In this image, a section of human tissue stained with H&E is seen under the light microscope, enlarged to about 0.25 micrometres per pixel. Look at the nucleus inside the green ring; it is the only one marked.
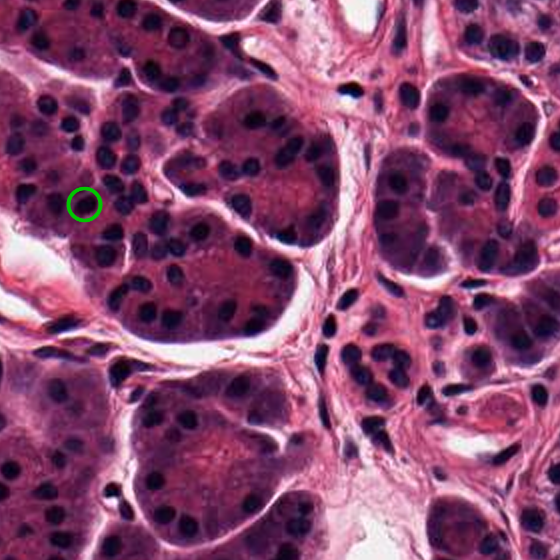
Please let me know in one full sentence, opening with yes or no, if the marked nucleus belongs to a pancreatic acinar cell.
Yes, the marked nucleus sits in a pancreatic acinar cell.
